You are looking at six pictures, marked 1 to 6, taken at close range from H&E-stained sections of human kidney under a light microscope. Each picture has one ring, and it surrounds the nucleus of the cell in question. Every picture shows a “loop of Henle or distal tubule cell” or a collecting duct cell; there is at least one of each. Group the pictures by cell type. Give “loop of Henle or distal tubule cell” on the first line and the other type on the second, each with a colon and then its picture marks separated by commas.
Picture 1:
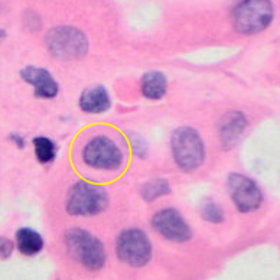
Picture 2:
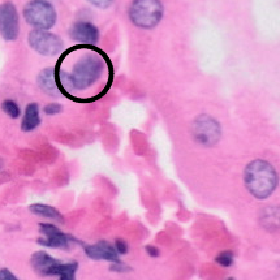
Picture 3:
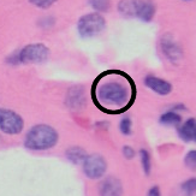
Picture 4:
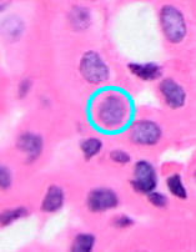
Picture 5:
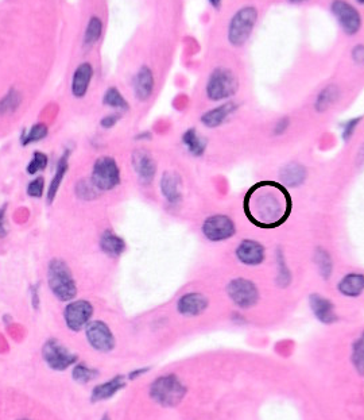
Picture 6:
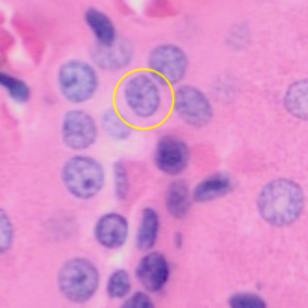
loop of Henle or distal tubule cell: 3, 4
collecting duct cell: 1, 2, 5, 6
